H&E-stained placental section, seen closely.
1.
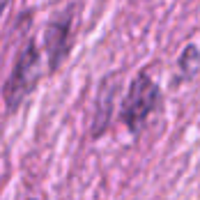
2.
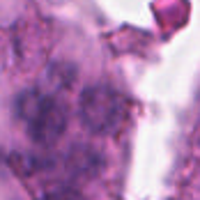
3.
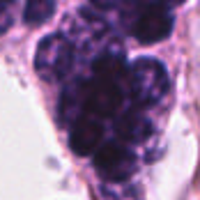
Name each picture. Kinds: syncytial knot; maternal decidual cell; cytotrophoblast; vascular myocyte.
1: vascular myocyte
2: cytotrophoblast
3: syncytial knot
